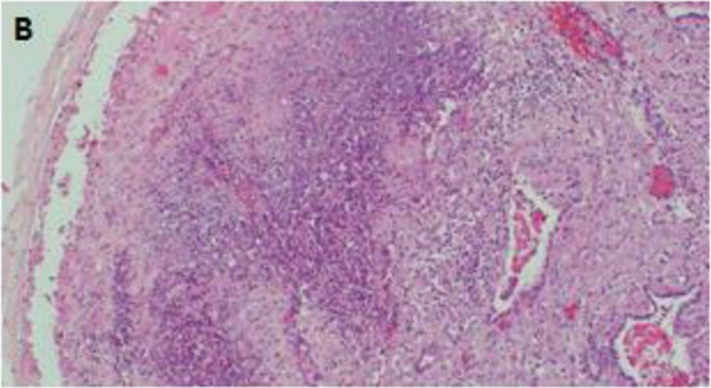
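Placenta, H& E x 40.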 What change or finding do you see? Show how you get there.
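A broad band of tissue beneath a thin membrane layer is crowded with small dark nuclei. The dense infiltrate spreads diffusely through the membrane tissue. On this evidence: acute chorioamnionitis.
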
